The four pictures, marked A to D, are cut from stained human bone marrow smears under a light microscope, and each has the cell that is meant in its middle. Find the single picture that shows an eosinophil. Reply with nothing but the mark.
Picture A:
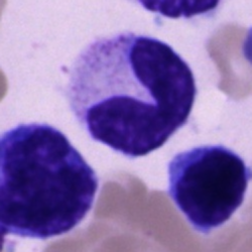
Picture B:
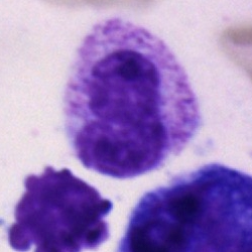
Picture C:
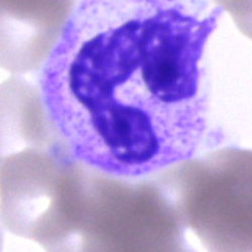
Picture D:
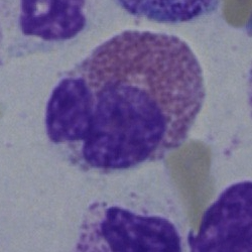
D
